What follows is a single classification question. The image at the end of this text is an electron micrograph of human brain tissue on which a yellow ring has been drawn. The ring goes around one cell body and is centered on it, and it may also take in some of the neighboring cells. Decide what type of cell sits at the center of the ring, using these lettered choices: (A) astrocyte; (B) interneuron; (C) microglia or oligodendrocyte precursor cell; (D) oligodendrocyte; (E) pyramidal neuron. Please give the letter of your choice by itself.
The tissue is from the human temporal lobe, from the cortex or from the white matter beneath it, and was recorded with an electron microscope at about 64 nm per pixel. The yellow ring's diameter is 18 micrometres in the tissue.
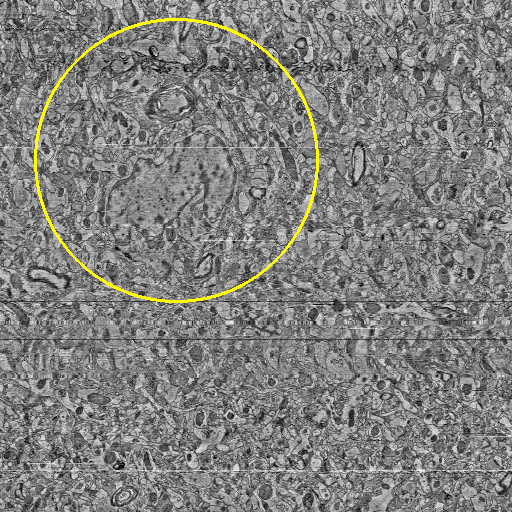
C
